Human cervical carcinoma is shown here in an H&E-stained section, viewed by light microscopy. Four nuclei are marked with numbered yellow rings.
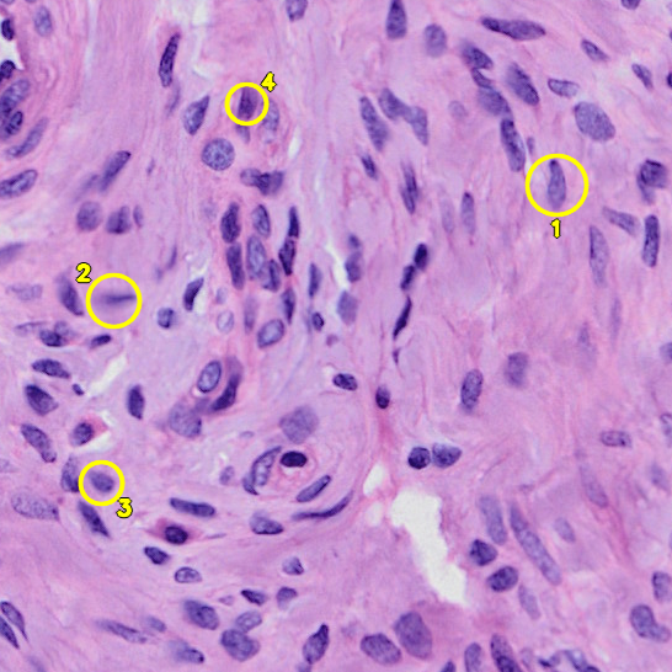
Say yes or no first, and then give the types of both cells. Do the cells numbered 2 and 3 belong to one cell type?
Yes, cells 2 and 3 have the same identity; both are fibroblasts.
